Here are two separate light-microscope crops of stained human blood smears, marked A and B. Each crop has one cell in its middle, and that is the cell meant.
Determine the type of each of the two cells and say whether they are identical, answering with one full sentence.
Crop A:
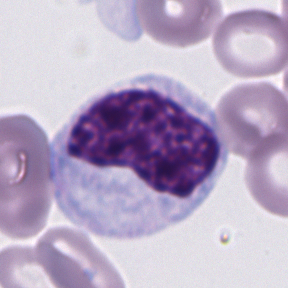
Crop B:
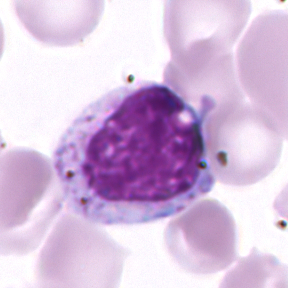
Yes, the cells in the centres of the two crops are metamyelocytes.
